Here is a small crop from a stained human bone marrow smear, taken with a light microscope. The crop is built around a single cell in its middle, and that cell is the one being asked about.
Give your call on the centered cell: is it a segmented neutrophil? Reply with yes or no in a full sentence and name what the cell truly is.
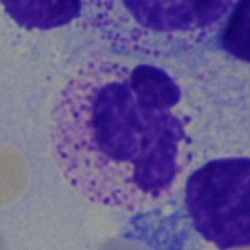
No, at the centre of this crop is found a basophil instead of a segmented neutrophil.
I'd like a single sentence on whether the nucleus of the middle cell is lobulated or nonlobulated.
Multiple nuclear lobes, two or more, can be counted in this cell.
